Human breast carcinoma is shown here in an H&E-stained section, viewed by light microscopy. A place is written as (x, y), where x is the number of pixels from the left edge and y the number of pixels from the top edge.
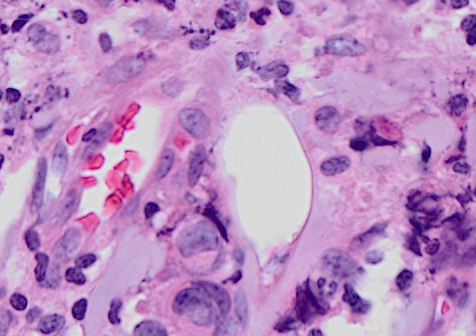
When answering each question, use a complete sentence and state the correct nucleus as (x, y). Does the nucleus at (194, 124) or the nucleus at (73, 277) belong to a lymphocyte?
The nucleus of a lymphocyte is the one found at (73, 277), not the other.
